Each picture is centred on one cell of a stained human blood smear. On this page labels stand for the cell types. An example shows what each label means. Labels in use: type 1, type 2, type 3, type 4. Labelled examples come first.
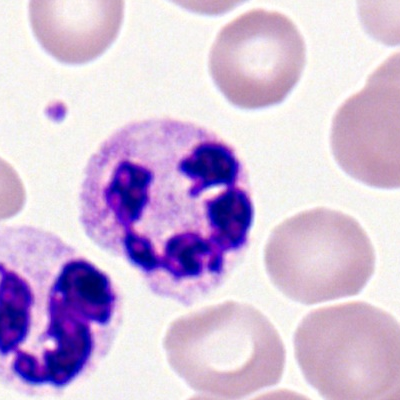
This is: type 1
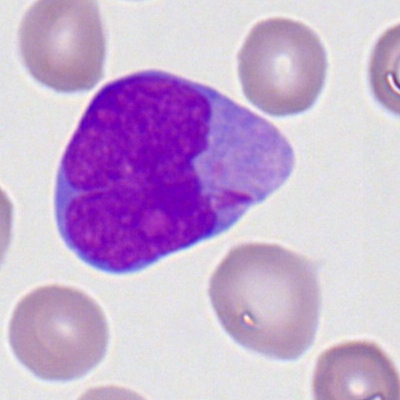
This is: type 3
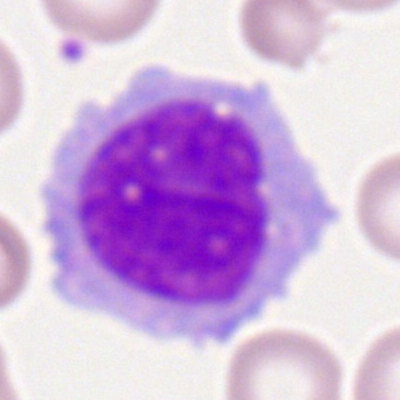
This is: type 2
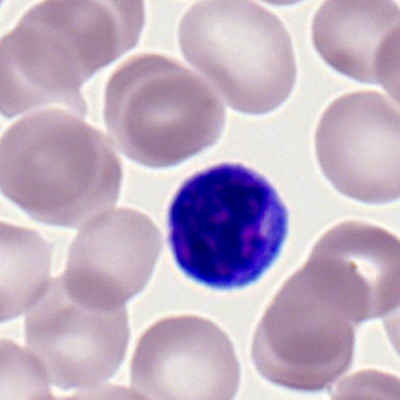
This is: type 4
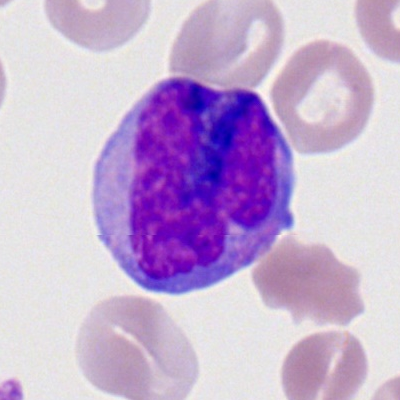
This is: type 3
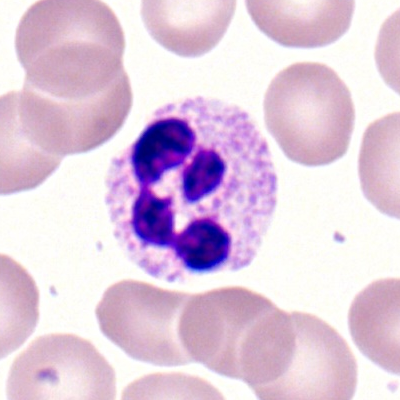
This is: type 1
